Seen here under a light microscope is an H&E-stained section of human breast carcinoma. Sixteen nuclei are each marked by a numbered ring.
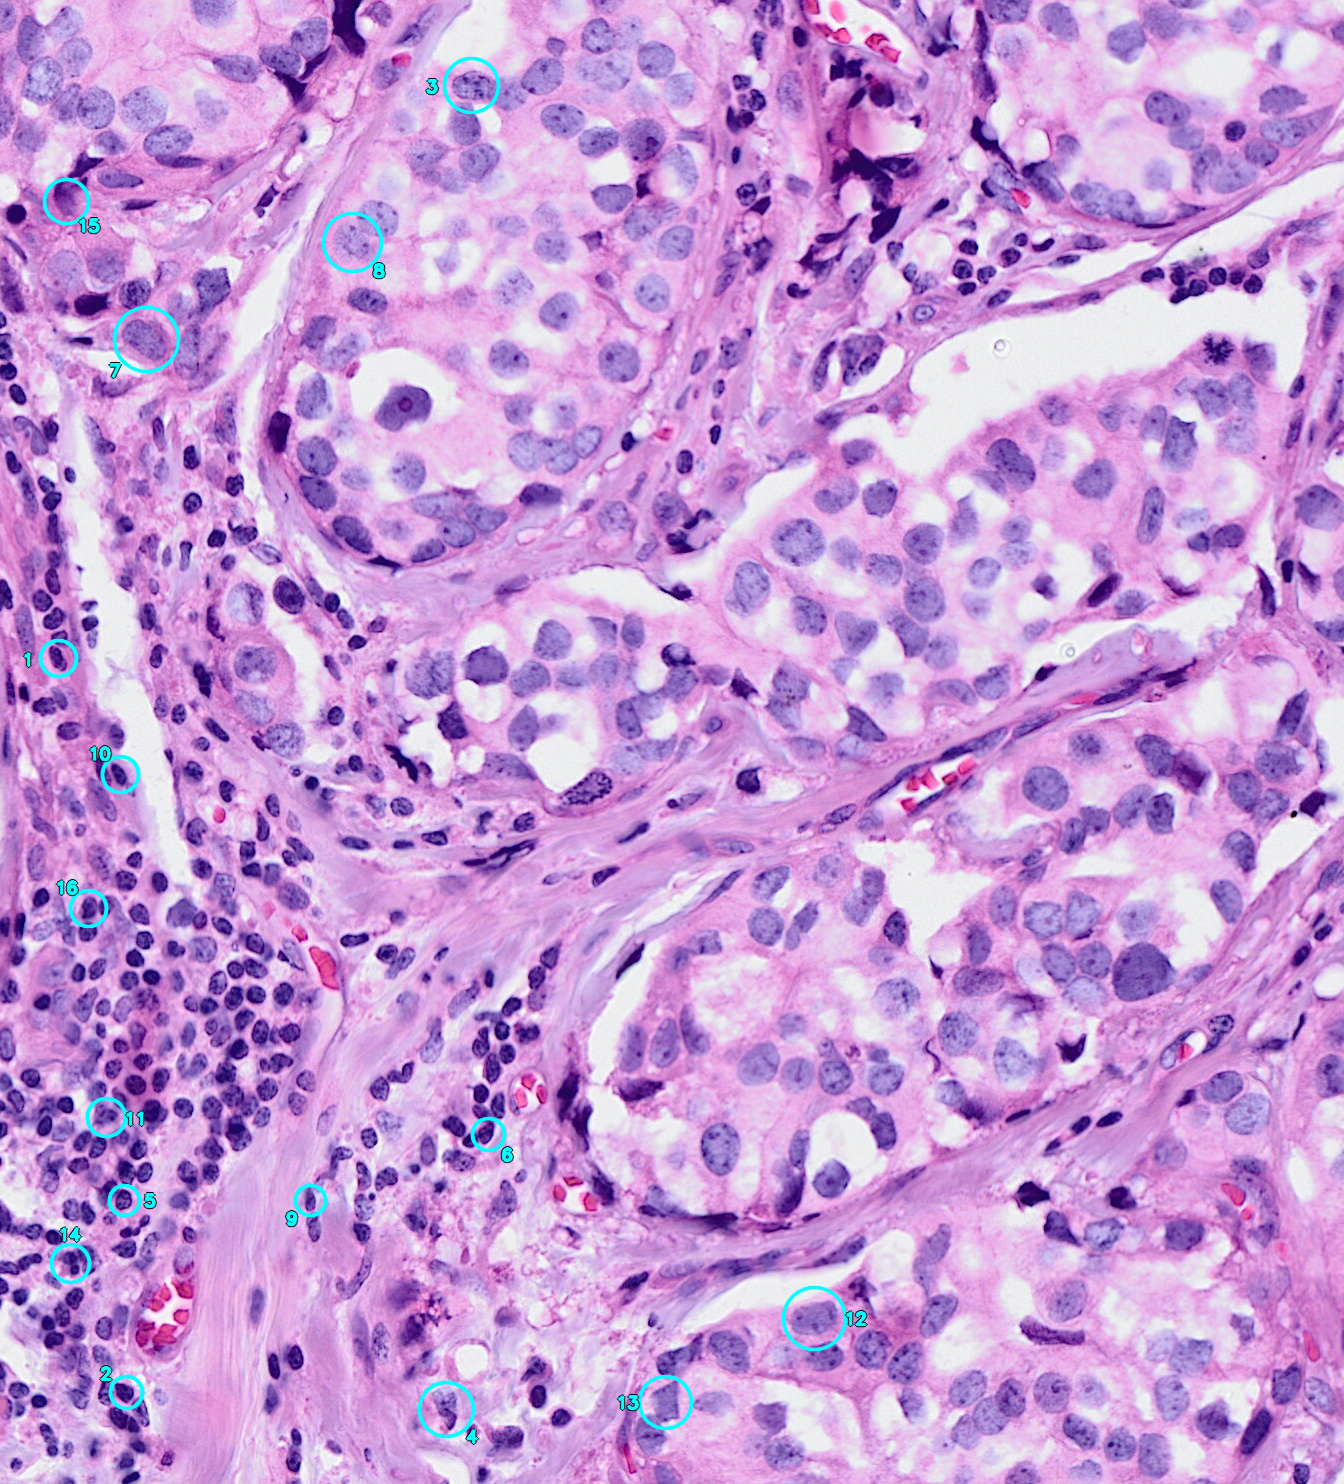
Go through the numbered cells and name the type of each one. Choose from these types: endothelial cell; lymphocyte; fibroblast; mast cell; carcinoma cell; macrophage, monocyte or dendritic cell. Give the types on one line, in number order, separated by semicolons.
lymphocyte; lymphocyte; carcinoma cell; fibroblast; lymphocyte; lymphocyte; carcinoma cell; carcinoma cell; lymphocyte; lymphocyte; lymphocyte; carcinoma cell; carcinoma cell; lymphocyte; carcinoma cell; lymphocyte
